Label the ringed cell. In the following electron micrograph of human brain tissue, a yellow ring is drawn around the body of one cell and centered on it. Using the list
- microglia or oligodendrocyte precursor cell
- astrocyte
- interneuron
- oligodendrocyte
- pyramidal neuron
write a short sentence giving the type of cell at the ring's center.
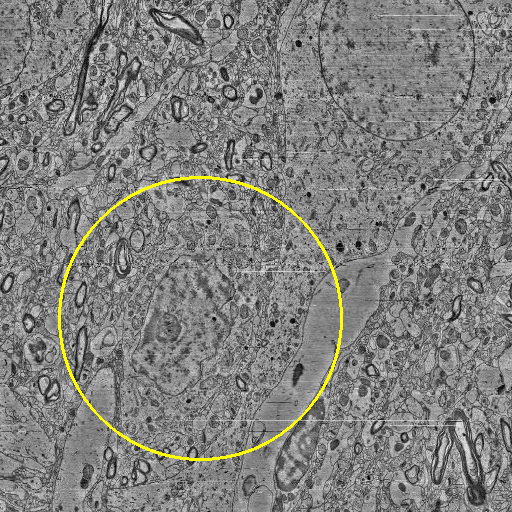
The cell body at the ring's center is that of an interneuron.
